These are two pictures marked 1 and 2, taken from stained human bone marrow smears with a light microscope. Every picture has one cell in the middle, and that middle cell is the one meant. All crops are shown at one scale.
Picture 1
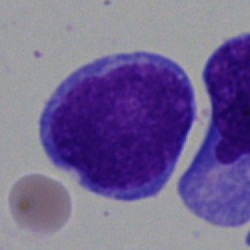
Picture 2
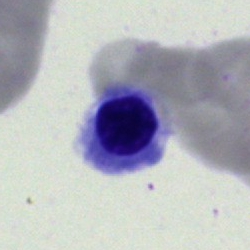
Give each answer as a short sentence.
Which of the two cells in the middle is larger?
The cell in picture 1 is larger, with about 3 times the area of the one in picture 2.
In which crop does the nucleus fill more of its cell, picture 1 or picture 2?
In picture 1 the nucleus takes up the larger part of its cell.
